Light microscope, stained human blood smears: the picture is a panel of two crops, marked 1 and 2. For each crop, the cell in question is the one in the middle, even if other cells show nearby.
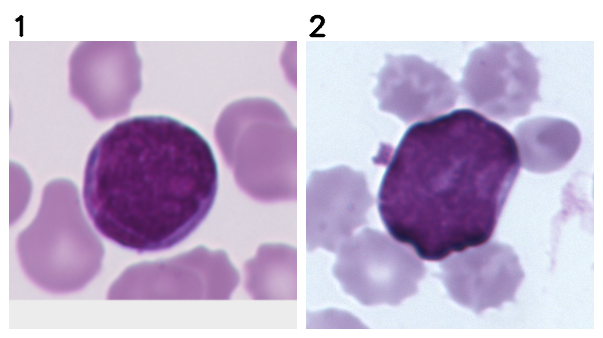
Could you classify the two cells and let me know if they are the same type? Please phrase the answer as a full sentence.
Yes, blasts are the central cells in the two crops.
